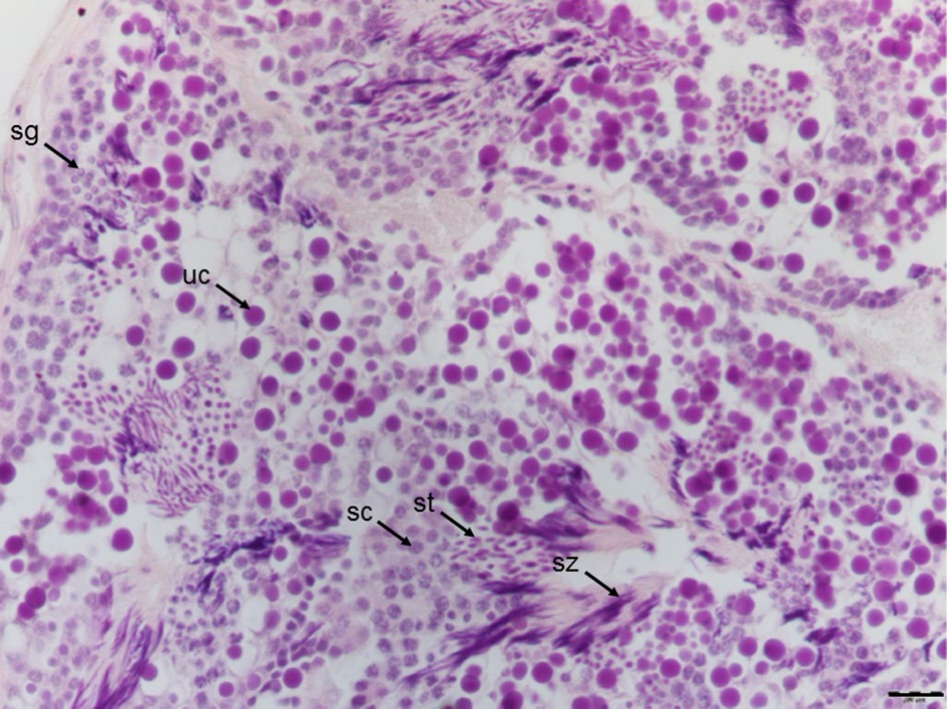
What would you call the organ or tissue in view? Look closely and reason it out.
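Testis. Densely packed small round germ cells at several sizes fill the section. Elongated dark purple thread-like bundles converge in the lumens. Compartments are separated by thin pale connective tissue.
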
